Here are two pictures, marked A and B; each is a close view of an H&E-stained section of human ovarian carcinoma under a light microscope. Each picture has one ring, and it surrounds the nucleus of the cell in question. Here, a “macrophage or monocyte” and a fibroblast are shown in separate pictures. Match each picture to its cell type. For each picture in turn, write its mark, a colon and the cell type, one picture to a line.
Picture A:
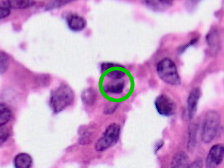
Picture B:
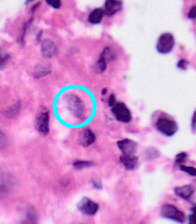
A: macrophage or monocyte
B: fibroblast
